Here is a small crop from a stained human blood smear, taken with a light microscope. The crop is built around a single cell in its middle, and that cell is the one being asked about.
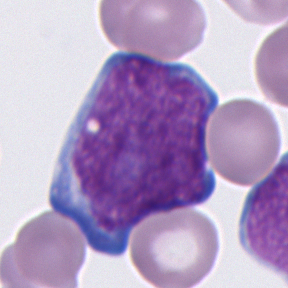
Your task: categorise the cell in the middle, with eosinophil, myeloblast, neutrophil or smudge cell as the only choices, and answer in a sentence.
The cell shown in the center of this light-microscope crop is a myeloblast.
